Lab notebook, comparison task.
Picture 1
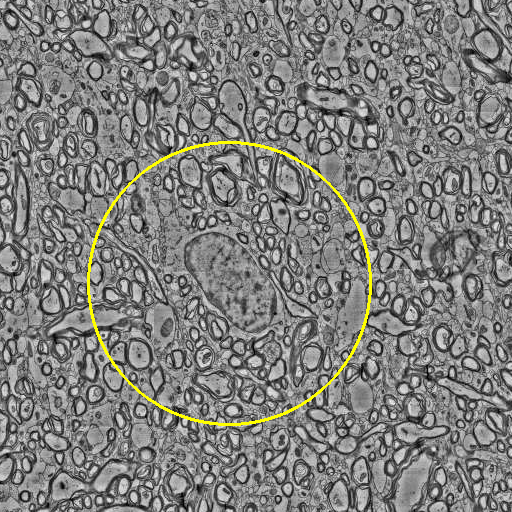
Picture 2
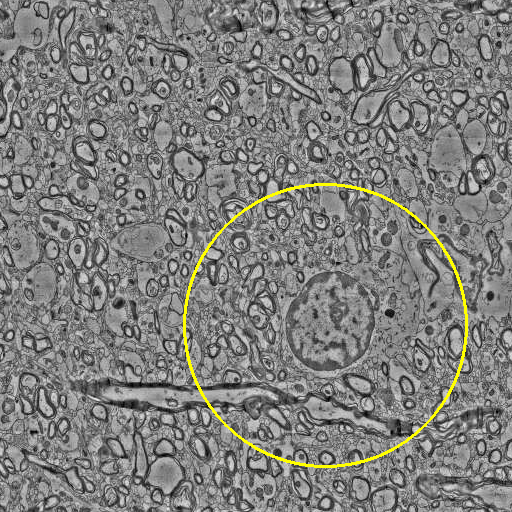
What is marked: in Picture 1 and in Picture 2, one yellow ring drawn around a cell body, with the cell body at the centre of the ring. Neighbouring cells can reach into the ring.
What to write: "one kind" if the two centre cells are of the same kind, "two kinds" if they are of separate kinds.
one kind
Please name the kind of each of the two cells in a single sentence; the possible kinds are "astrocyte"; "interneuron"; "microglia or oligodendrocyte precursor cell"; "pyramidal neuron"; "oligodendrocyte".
The cell at the ring centre is a microglial cell or oligodendrocyte precursor cell in both pictures.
